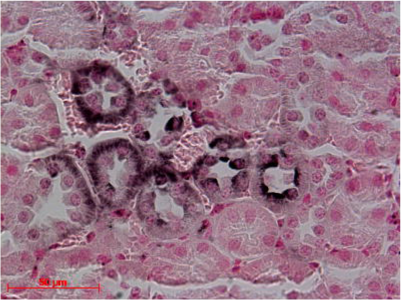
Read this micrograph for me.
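The stained tubules are lined by a single ring of cuboidal epithelial cells around open, star-shaped or irregular lumens, and dark purple-black stain lines the epithelium. The surrounding tubules have pale pink cytoplasm and round nuclei, and show no dark stain. Some ragged, loosened material lies around the stained tubules.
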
